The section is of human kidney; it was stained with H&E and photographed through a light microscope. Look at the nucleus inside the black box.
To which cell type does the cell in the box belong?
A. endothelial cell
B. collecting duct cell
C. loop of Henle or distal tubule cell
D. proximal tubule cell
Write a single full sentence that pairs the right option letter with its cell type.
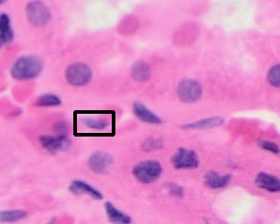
That the cell in the box is an endothelial cell makes option A the correct choice.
